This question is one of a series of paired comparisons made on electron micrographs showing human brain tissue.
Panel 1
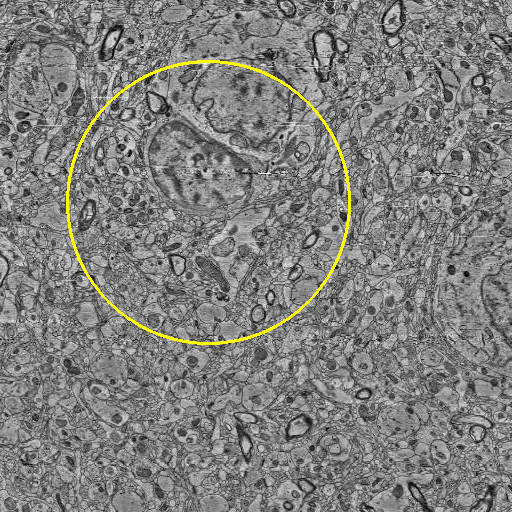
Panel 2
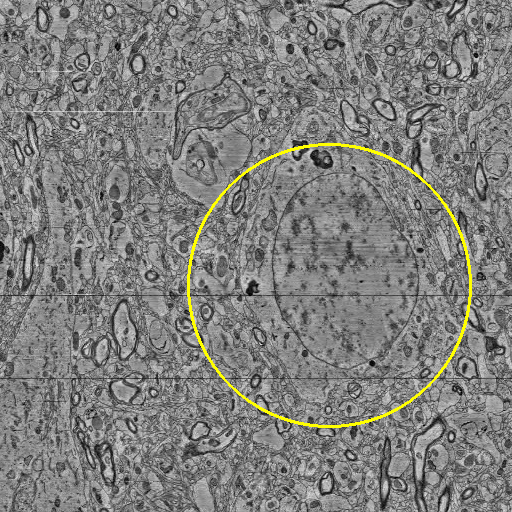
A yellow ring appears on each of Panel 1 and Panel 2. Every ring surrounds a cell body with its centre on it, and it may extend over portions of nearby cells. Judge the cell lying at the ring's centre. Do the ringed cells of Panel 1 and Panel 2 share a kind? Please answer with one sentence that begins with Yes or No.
No, the ring-centre cell in Panel 1 and the one in Panel 2 are of two kinds.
